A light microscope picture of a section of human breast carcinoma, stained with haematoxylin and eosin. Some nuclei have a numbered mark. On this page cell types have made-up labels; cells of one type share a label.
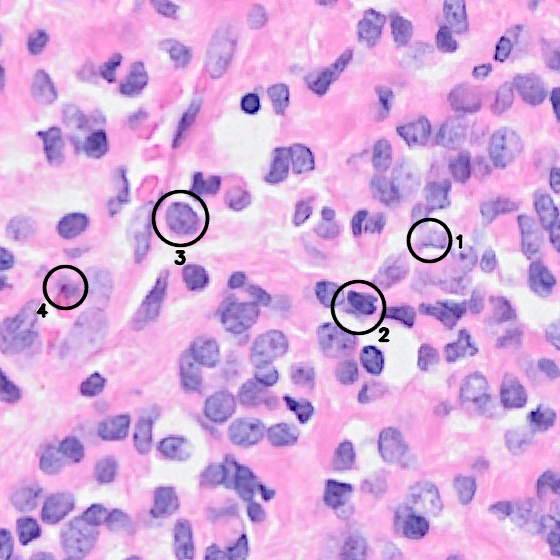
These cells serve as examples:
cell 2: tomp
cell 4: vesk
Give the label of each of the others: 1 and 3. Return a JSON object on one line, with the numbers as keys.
{"1": "tomp", "3": "tomp"}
